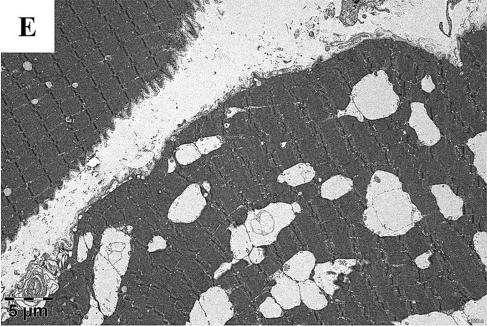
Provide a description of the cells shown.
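An electron micrograph of skeletal muscle fibers cut lengthwise, showing regular cross-striations of sarcomeres as fine repeating bands across the dark fiber. A pale, widened interstitial space runs diagonally between two fibers and holds loose fibrillar material. Within the lower fiber, many irregular electron-lucent areas of varying size interrupt the myofibrils; these areas lack banding, and some contain faint membranous material. In the lower left corner a whorled, layered membranous structure lies in the interstitium.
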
